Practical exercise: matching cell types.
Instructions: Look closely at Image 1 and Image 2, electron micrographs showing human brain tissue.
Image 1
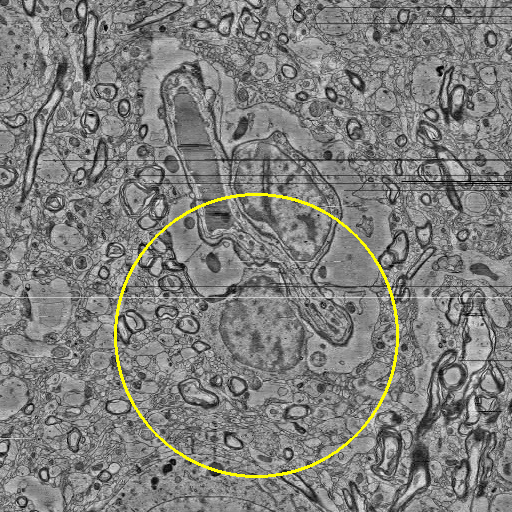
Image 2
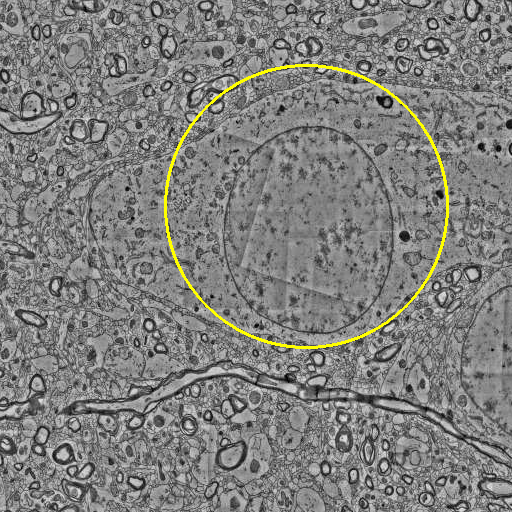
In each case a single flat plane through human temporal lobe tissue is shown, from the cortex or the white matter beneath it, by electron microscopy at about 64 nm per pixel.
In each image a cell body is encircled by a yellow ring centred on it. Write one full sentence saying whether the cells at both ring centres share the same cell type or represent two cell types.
Across Image 1 and Image 2, the cells at the ring centres represent two cell types.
